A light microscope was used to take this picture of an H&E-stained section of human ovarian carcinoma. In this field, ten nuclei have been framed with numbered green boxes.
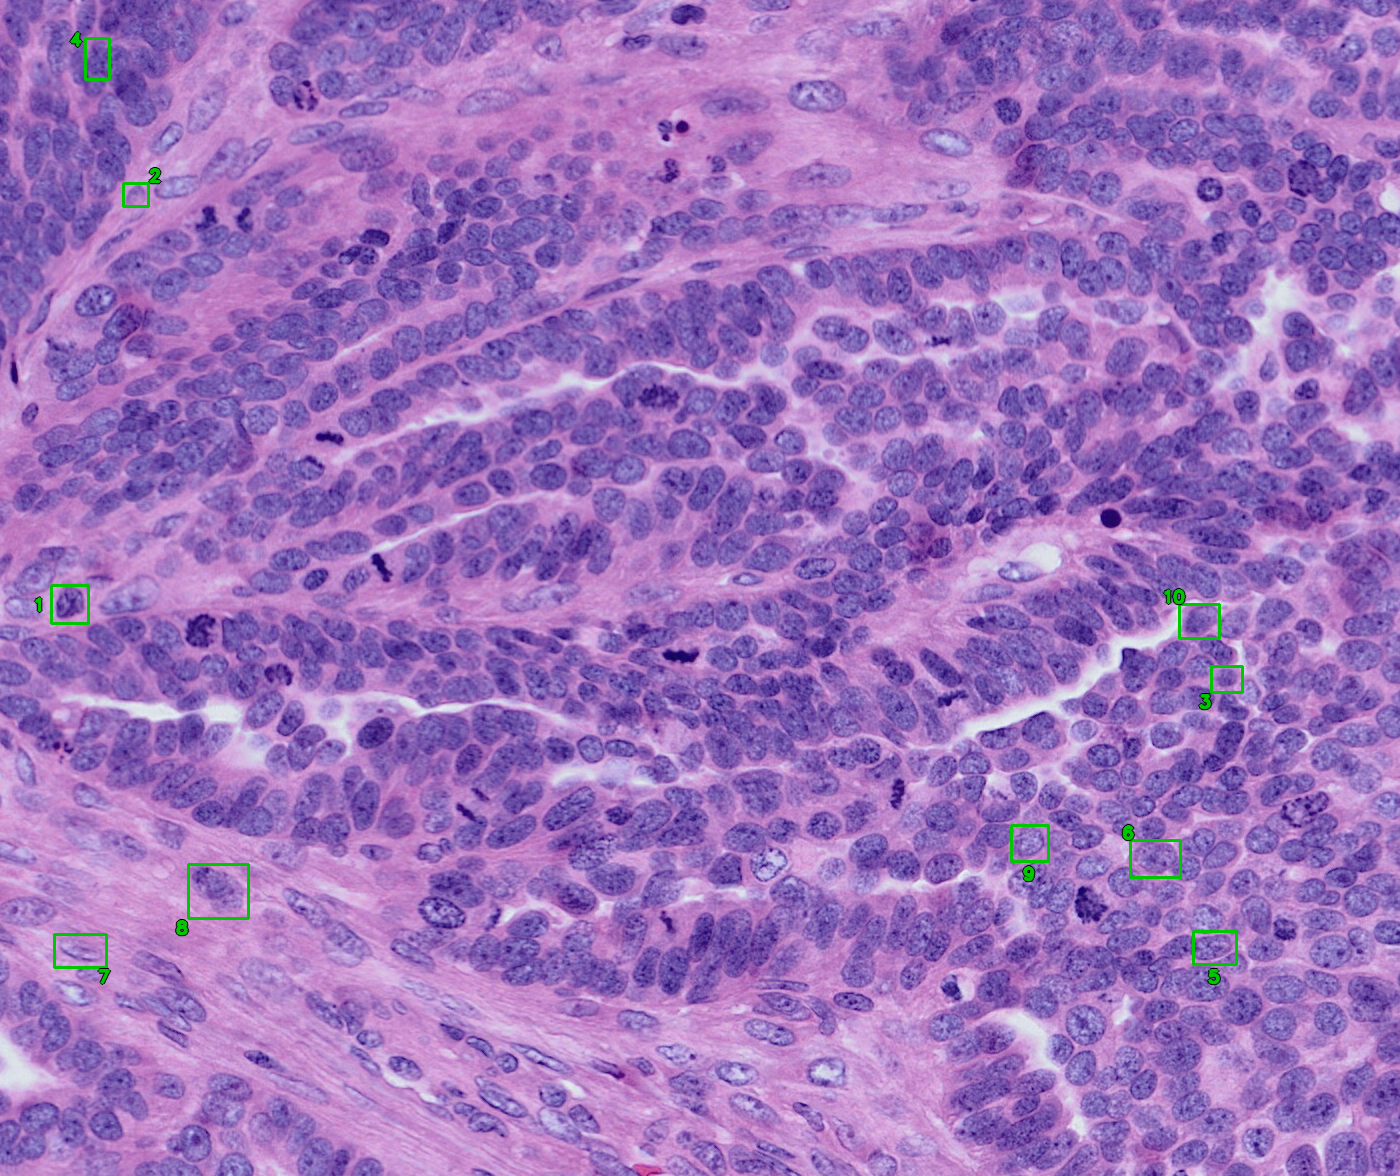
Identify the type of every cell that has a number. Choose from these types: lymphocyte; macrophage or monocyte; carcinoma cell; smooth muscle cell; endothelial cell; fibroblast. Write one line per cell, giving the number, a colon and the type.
1: macrophage or monocyte
2: fibroblast
3: carcinoma cell
4: carcinoma cell
5: carcinoma cell
6: carcinoma cell
7: fibroblast
8: fibroblast
9: carcinoma cell
10: carcinoma cell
